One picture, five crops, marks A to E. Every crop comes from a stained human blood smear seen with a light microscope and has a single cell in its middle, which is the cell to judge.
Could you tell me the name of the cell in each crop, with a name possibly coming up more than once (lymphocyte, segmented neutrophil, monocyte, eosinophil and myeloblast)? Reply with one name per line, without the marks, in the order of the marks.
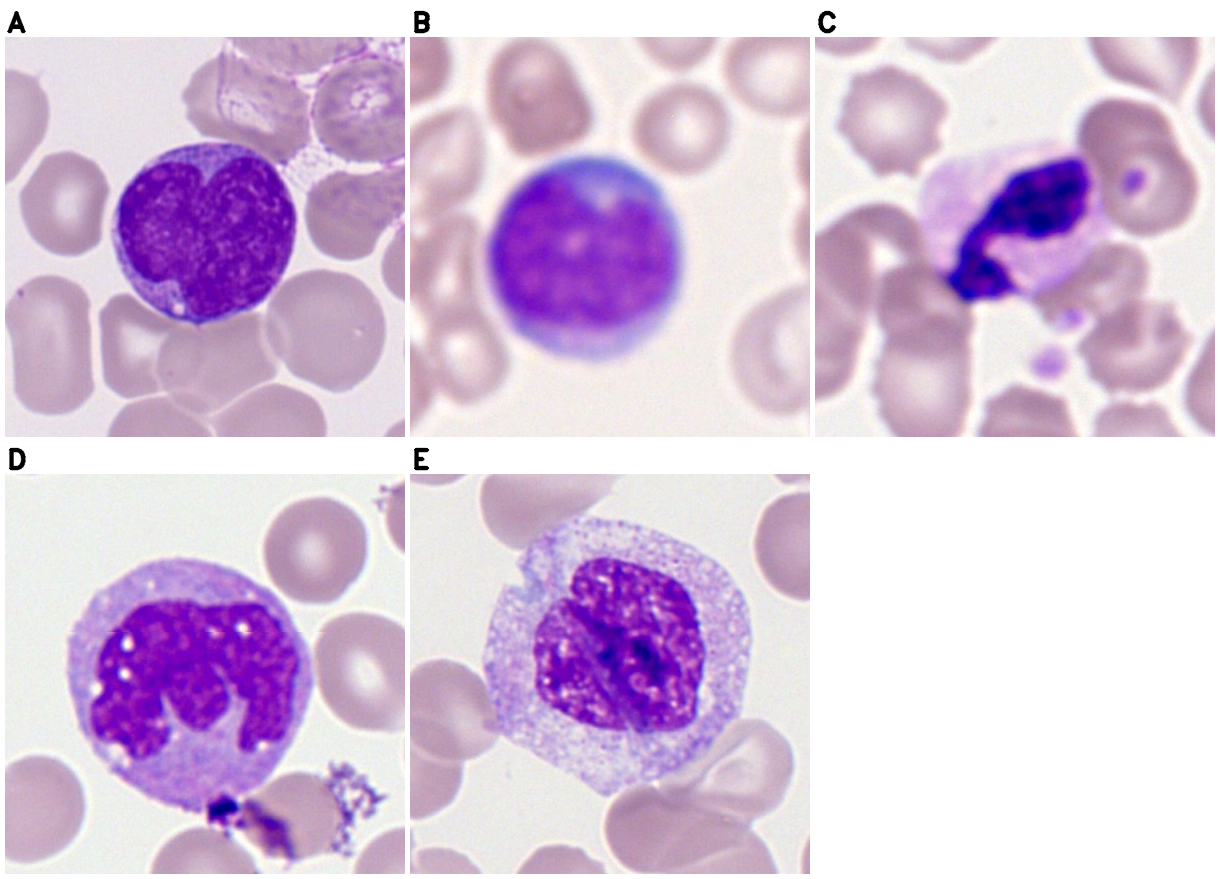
myeloblast
myeloblast
segmented neutrophil
monocyte
monocyte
